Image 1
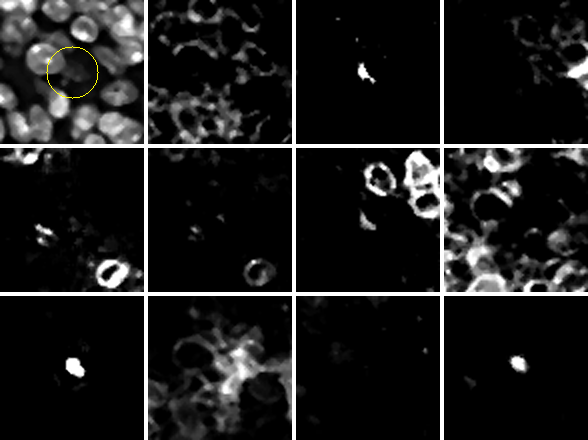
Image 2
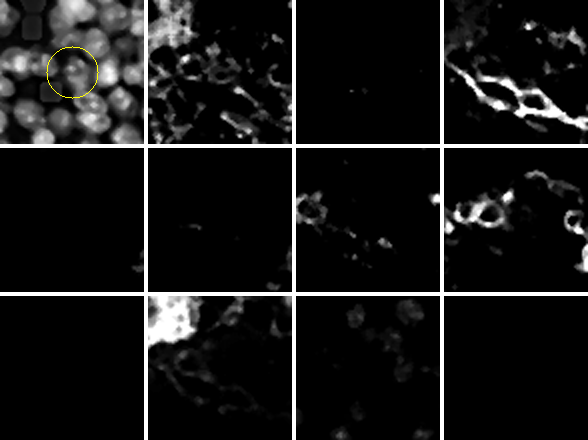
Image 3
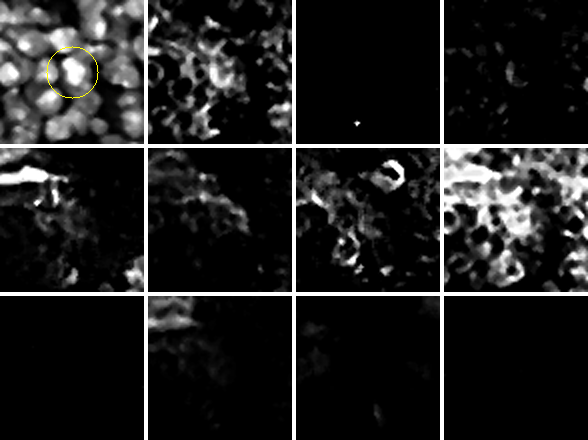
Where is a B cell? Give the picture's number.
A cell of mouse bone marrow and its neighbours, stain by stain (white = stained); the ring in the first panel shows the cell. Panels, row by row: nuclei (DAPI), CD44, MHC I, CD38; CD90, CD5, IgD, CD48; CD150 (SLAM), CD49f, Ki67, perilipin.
3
